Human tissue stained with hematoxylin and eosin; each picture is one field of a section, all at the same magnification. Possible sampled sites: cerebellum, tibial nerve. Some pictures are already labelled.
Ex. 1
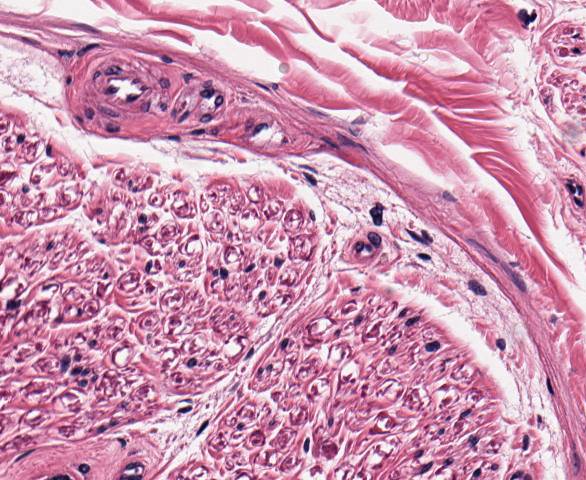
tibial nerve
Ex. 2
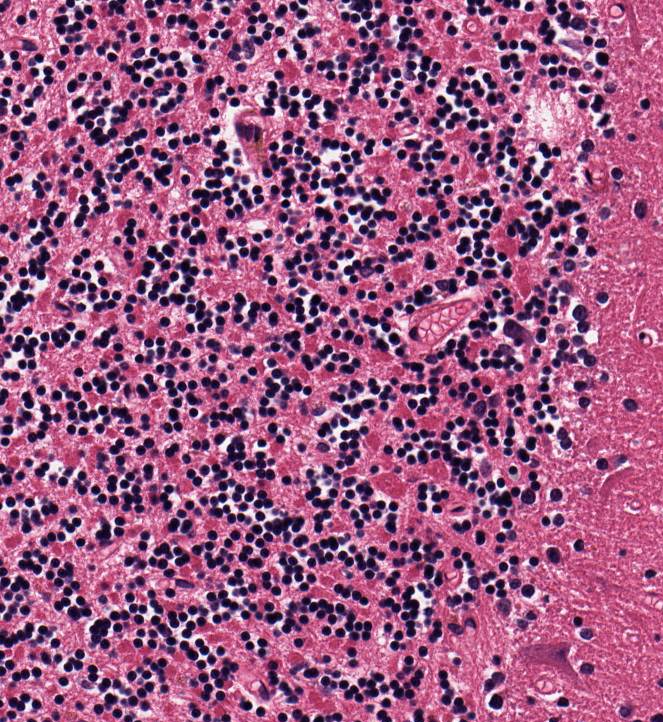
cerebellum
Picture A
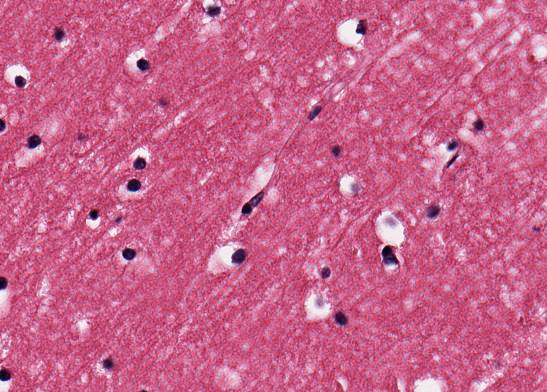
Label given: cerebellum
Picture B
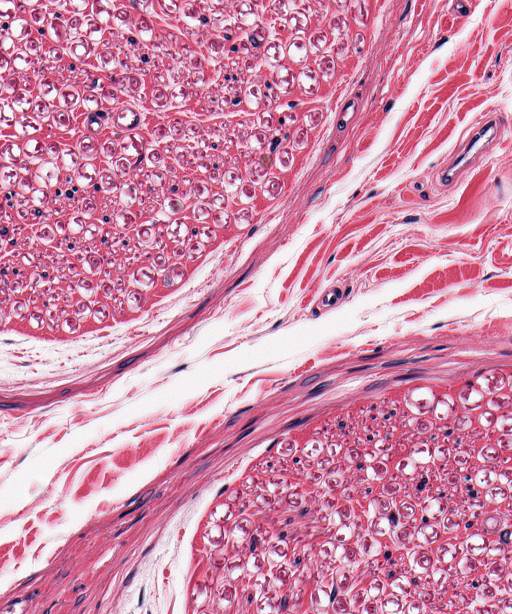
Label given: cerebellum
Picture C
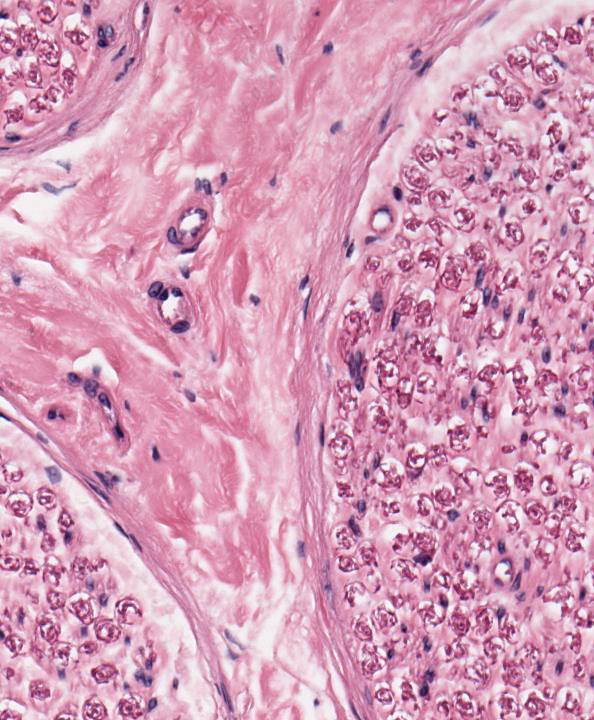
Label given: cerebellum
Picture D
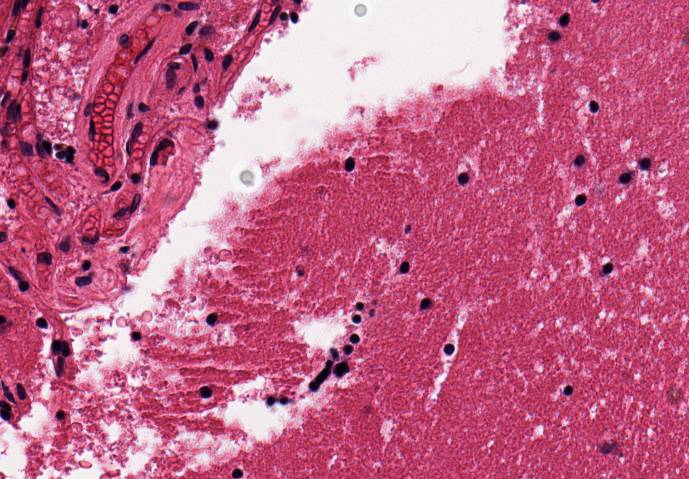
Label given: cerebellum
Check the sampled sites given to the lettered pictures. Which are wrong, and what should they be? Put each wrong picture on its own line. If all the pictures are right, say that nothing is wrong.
B: not cerebellum but tibial nerve
C: not cerebellum but tibial nerve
